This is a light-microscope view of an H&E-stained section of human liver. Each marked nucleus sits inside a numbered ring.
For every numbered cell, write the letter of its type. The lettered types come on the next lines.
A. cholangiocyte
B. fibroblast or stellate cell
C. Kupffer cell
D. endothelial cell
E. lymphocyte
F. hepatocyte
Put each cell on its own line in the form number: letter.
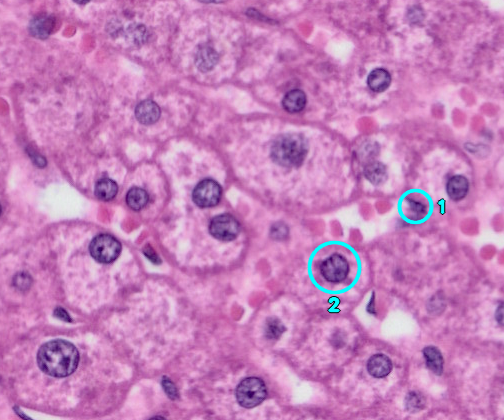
1: B
2: F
